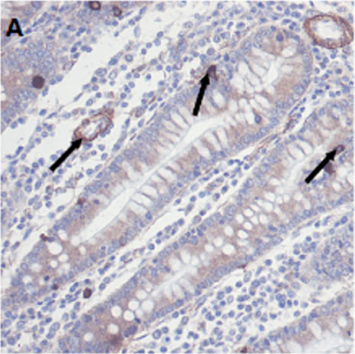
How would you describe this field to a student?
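This is intestinal mucosa showing crypts lined by tall columnar epithelium with pale goblet cells and a light brown tint in the epithelial cytoplasm, set in a lamina propria full of small round cells with blue nuclei. A few single cells in and beside the epithelium are stained dark brown, and the walls of small vessels in the lamina propria appear as brown rings.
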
